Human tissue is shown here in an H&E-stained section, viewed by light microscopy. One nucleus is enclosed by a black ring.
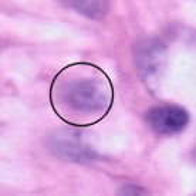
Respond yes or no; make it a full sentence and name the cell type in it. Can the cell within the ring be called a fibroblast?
Yes, put very simply, the cell within the ring is a fibroblast.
